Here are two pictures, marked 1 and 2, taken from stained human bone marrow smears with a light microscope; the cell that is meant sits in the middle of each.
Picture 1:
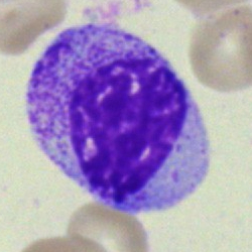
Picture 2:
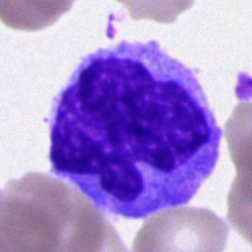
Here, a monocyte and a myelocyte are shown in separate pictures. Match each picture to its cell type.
1: myelocyte
2: monocyte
